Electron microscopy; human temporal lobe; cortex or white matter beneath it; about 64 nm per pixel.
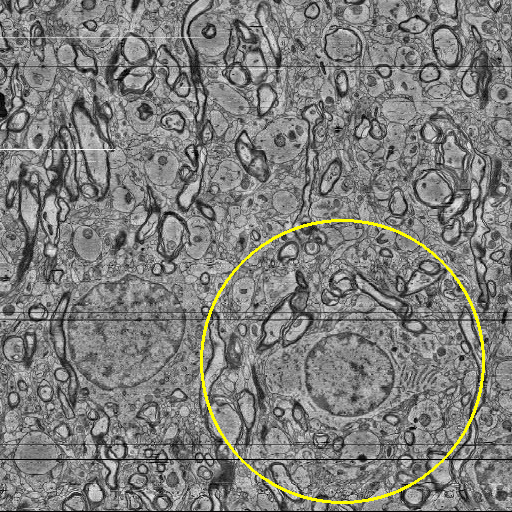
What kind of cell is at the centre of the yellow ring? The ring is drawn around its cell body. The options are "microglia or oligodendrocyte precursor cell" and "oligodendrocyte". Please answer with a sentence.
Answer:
The yellow ring marks the cell body of a microglial cell or oligodendrocyte precursor cell.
